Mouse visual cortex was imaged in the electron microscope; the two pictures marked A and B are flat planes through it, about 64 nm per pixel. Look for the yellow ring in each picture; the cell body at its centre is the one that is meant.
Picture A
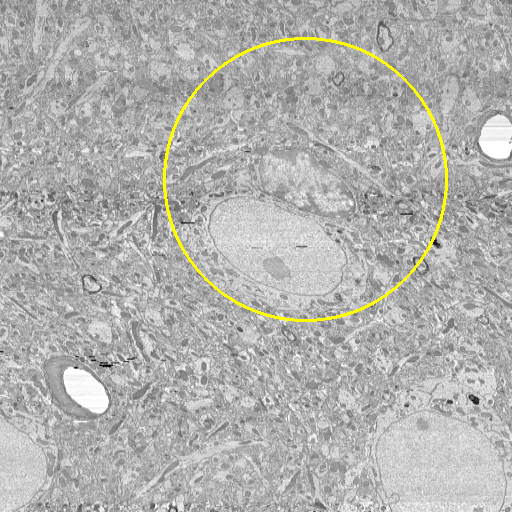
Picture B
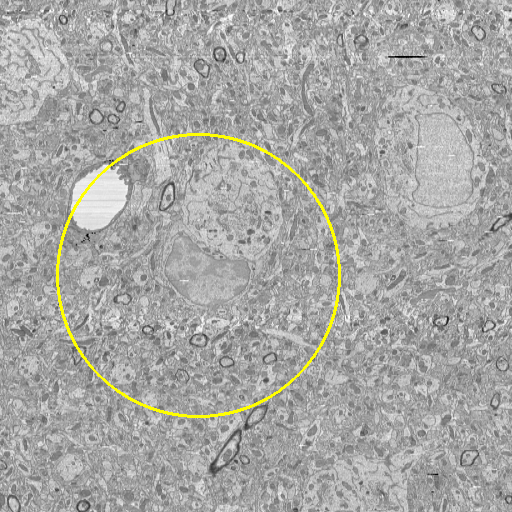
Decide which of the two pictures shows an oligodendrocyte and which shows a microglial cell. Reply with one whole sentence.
Picture A is of an oligodendrocyte, and picture B is of a microglial cell.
